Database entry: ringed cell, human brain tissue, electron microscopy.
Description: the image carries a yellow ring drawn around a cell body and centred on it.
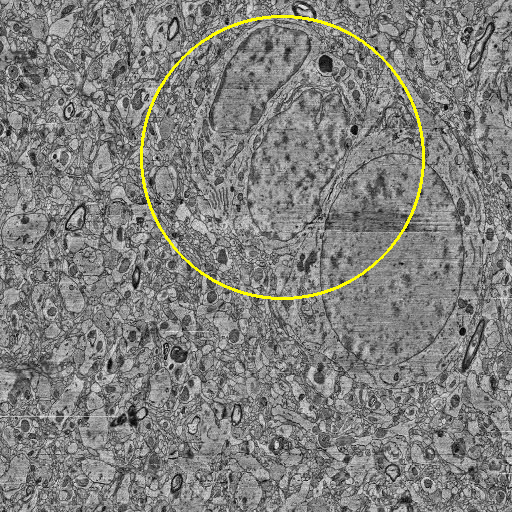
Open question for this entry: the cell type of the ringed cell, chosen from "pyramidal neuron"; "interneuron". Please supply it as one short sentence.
The ringed cell is an interneuron.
